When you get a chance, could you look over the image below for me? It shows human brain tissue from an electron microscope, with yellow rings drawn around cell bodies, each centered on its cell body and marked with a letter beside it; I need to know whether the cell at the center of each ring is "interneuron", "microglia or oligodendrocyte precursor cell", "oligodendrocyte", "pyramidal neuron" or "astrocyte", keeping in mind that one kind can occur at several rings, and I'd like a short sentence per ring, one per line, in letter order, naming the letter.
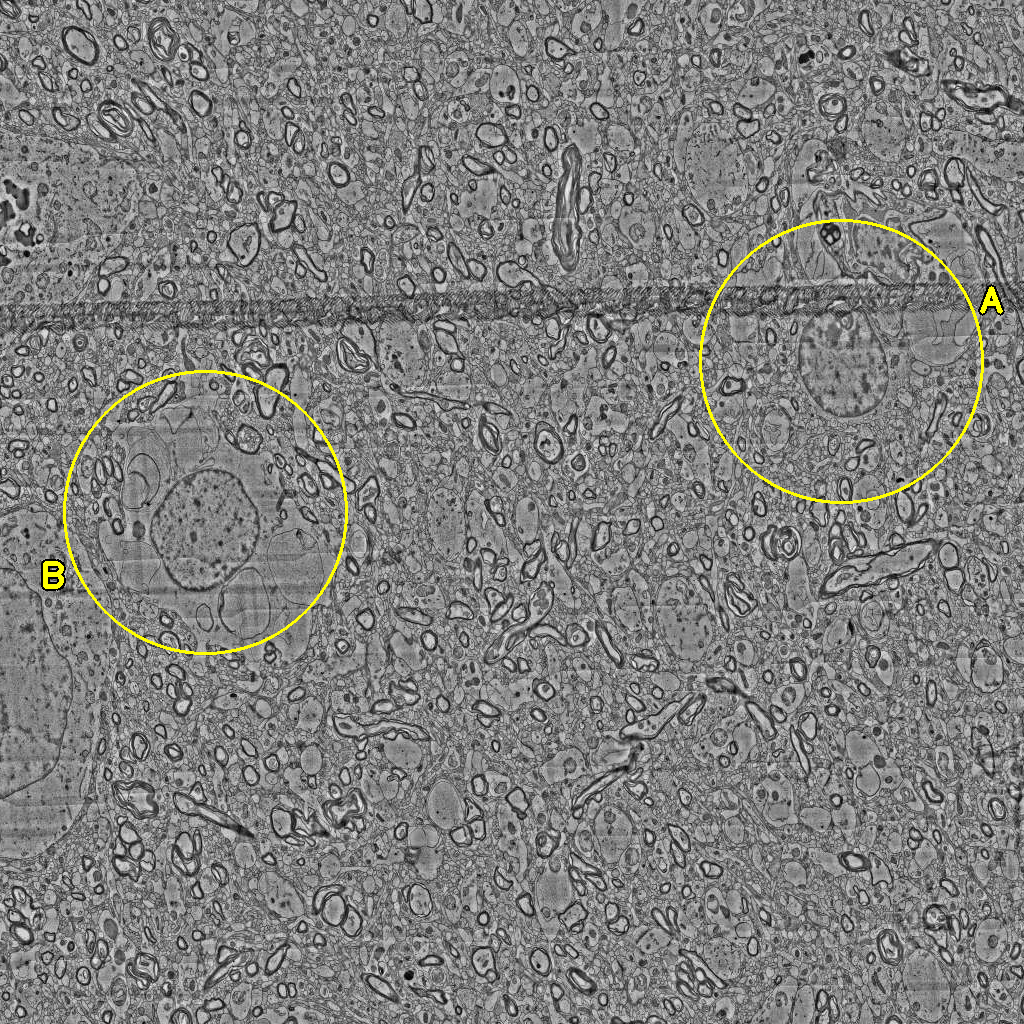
Ring A is centered on an oligodendrocyte.
Ring B is centered on an astrocyte.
